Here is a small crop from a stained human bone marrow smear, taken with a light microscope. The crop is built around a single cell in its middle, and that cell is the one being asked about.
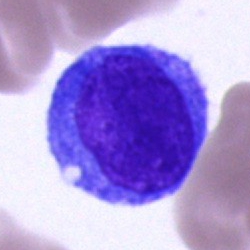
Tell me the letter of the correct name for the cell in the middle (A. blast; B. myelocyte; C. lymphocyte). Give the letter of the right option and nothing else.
A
